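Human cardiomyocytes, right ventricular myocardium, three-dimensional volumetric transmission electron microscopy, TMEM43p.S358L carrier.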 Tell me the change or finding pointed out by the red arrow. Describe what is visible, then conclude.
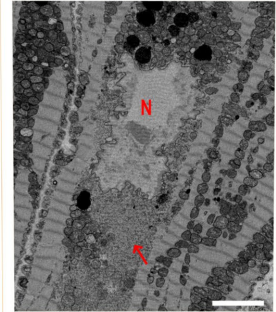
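The arrow points to a finely granular zone beside the pale nucleus. No round mitochondrial profiles lie within that zone. The answer: mitochondria-devoid area around the nucleus.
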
